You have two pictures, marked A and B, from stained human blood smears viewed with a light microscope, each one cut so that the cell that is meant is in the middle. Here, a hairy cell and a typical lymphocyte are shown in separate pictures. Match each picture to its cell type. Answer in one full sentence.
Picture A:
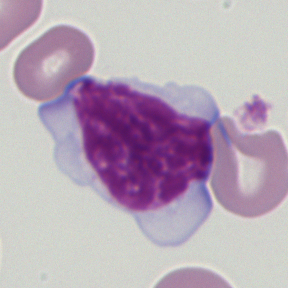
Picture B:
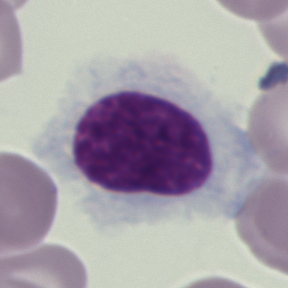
It is picture A that shows a typical lymphocyte, and picture B that shows a hairy cell.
